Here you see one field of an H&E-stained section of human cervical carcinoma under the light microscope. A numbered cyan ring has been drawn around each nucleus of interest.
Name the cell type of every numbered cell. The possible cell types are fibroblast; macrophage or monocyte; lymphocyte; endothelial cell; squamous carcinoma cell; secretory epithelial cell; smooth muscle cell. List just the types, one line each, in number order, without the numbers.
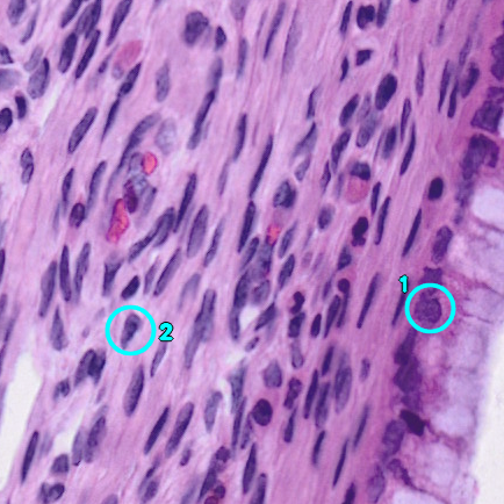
secretory epithelial cell
fibroblast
